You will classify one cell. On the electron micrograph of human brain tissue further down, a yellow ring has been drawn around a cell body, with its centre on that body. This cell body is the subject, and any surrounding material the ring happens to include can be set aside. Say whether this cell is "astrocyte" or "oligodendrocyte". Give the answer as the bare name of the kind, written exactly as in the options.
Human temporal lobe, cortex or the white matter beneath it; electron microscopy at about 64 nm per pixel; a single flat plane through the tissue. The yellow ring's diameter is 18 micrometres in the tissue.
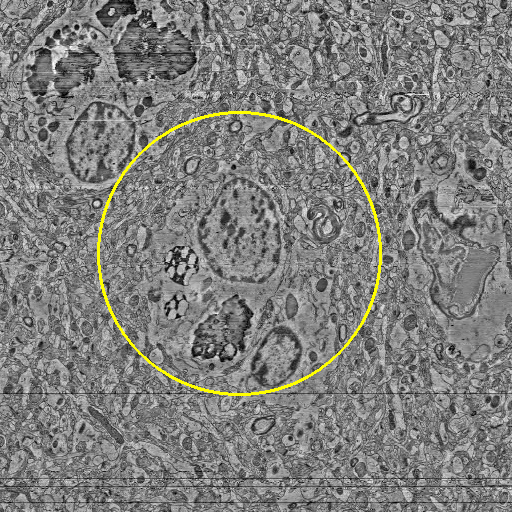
astrocyte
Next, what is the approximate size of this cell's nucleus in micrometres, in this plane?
The nucleus appears roughly 7 by 5 micrometres in this plane.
